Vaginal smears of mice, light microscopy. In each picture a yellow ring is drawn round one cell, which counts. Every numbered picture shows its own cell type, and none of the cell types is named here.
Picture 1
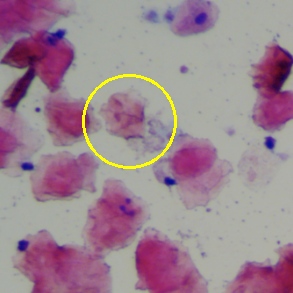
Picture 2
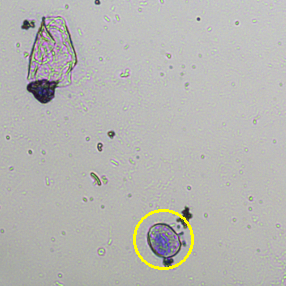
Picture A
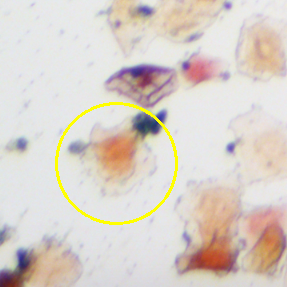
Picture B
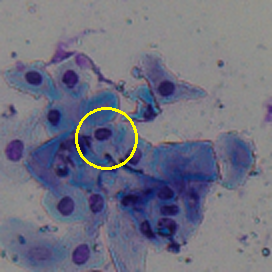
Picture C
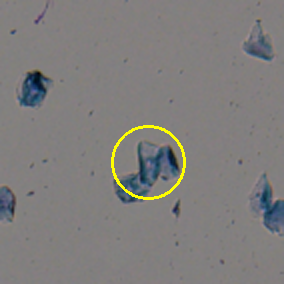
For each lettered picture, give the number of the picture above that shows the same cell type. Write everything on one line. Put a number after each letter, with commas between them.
A 1, B 2, C 1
